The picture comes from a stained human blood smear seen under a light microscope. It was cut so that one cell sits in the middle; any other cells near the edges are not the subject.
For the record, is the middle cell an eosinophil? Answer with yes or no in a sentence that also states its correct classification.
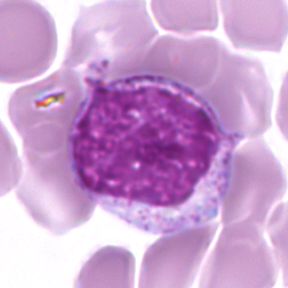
No, it is a myelocyte and not an eosinophil that occupies the middle of the crop.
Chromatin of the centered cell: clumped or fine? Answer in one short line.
There is no coarse clumping; the chromatin stays fine throughout.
